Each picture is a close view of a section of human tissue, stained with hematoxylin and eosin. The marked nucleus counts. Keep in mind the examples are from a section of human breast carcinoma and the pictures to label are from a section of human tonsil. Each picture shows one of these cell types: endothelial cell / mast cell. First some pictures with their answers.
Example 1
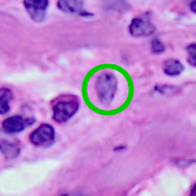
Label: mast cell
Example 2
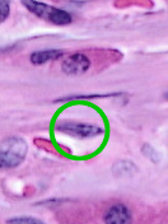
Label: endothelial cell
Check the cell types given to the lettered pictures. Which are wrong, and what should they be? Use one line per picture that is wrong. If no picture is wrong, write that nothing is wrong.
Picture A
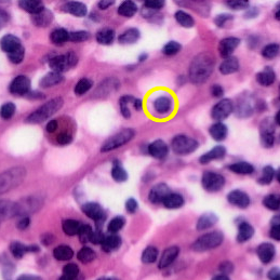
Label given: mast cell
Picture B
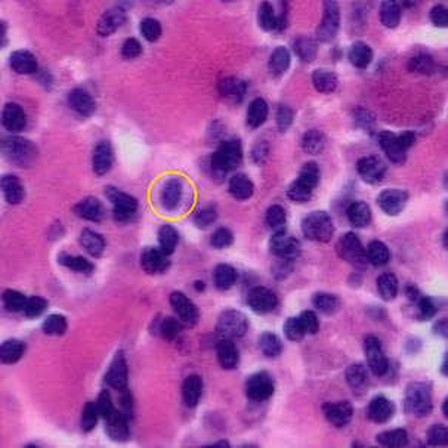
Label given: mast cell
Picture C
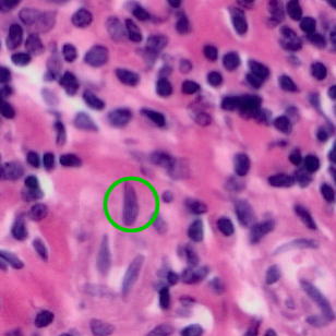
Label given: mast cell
A is labelled mast cell; correct label: endothelial cell
C is labelled mast cell; correct label: endothelial cell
